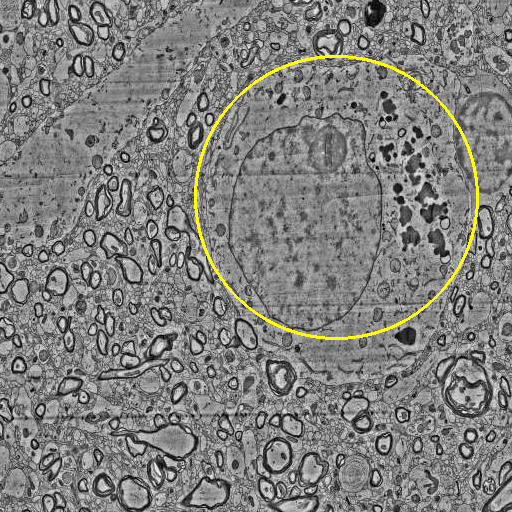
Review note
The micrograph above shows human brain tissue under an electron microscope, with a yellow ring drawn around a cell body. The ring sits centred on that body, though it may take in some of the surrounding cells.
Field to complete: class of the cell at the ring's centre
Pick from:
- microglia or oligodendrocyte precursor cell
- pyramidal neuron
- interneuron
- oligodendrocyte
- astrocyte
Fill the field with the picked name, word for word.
pyramidal neuron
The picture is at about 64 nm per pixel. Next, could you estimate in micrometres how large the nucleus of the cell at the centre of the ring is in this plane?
The ringed cell's nucleus measures approximately 14 by 10 micrometres in this plane.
